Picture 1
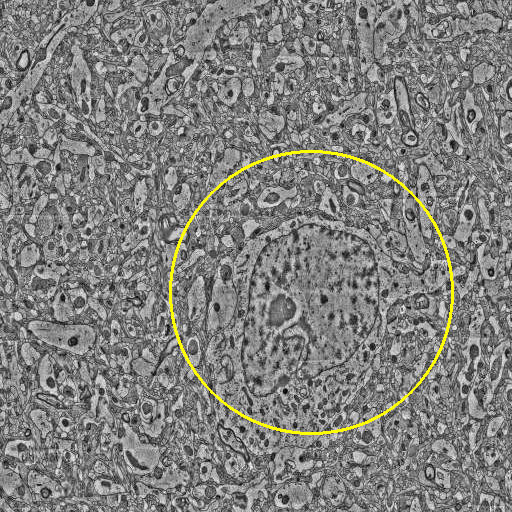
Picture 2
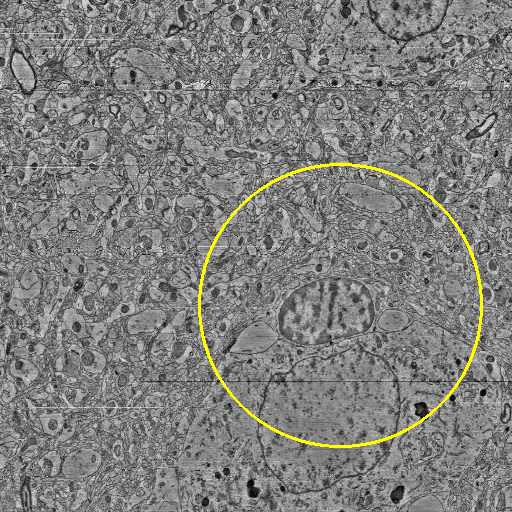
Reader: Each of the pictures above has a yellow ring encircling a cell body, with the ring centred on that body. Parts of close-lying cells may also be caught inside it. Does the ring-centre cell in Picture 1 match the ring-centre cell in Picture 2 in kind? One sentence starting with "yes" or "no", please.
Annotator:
No, Picture 1 and Picture 2 show ring-centre cells of two kinds.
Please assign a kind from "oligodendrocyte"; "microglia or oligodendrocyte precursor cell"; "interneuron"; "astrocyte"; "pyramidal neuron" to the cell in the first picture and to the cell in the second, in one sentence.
In the first picture we have an interneuron, and in the second, a microglial cell or oligodendrocyte precursor cell.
